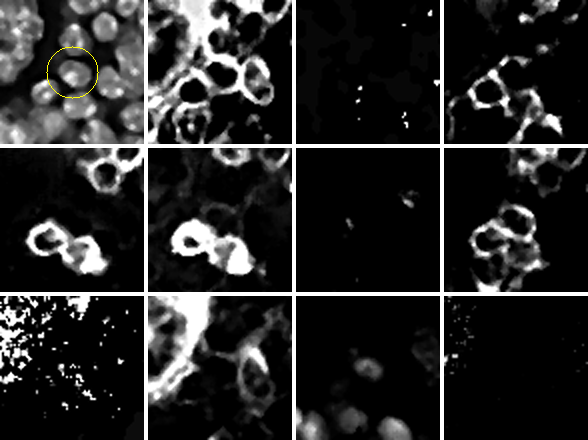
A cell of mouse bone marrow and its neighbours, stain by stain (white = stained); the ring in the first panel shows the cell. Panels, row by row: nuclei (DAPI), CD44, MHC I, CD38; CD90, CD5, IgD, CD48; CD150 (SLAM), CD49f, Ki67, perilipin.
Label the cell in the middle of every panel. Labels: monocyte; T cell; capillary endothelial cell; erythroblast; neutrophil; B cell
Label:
monocyte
